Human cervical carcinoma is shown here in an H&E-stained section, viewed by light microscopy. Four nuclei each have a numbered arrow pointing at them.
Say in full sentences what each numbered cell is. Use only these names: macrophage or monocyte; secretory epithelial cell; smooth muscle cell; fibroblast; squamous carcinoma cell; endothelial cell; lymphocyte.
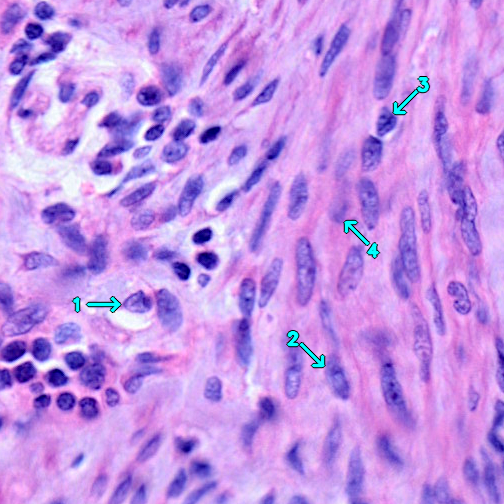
Cell 1 is a macrophage or monocyte, cell 2 is a smooth muscle cell, cell 3 is a lymphocyte and cell 4 is a smooth muscle cell.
